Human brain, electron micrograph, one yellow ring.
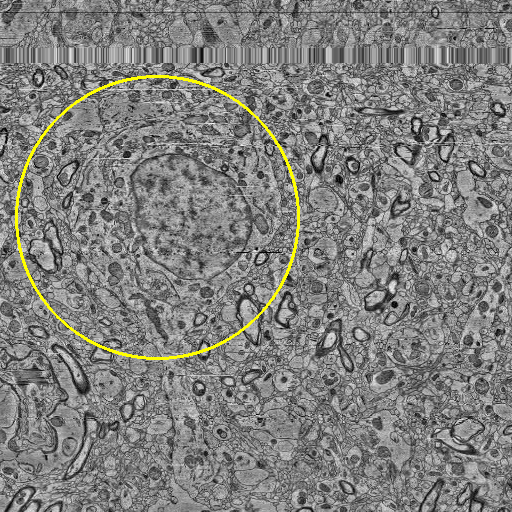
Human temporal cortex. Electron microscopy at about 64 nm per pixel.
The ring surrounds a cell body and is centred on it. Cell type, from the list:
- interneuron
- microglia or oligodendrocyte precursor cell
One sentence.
The yellow ring circles an interneuron.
